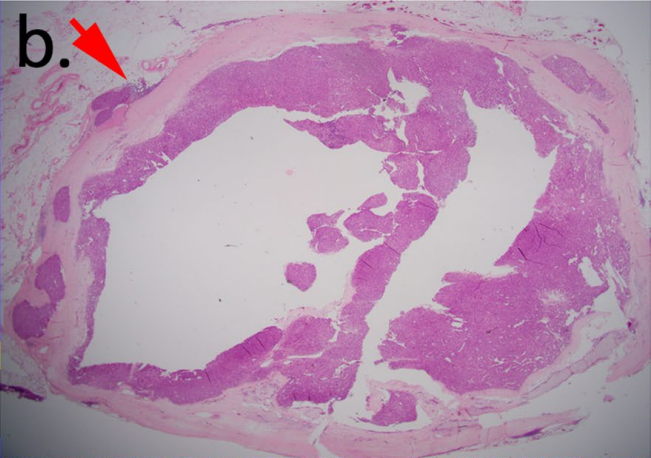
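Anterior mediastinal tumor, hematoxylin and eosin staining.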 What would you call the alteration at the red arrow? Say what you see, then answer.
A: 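A pale pink fibrous band encircles the purple tumor tissue. The arrow points to a small purple tumor nodule at the outer edge of the band, next to the surrounding fat.
Microscopic invasion into the surrounding adipose fatty tissue beyond the capsular portion.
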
